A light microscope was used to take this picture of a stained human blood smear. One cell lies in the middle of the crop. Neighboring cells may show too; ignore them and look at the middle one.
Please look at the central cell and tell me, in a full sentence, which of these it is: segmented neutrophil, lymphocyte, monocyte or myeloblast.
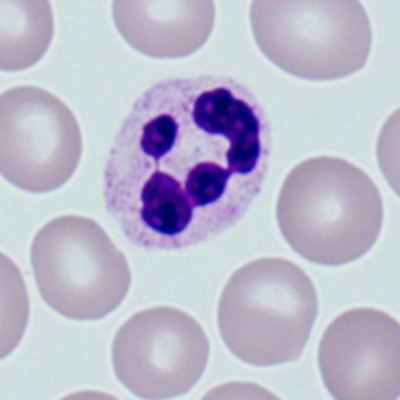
The cell featured at the centre of this crop is a segmented neutrophil.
